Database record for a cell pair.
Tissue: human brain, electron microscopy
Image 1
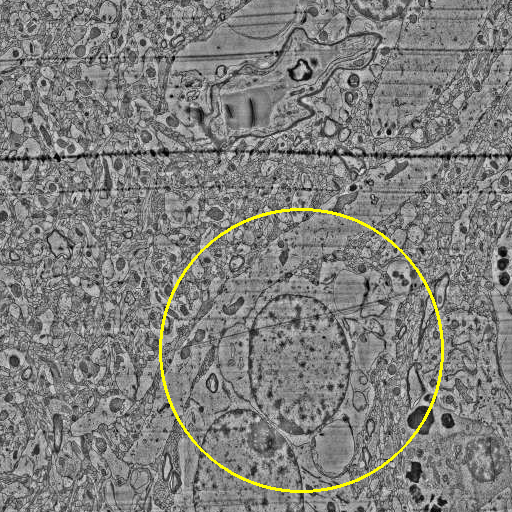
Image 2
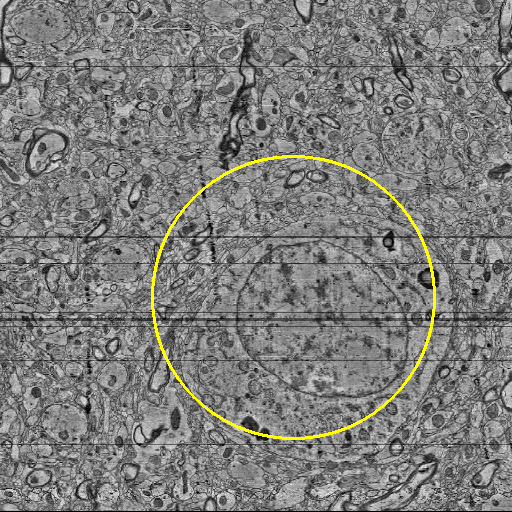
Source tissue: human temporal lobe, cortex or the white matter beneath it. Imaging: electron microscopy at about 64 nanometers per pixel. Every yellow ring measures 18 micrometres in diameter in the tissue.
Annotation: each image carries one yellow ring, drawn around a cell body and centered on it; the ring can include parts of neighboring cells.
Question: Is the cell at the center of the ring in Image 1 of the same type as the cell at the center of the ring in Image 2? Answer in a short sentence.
No, the cells are of two types.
